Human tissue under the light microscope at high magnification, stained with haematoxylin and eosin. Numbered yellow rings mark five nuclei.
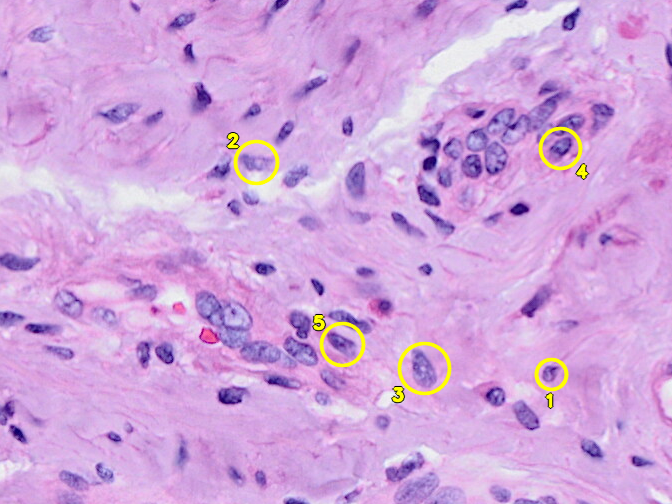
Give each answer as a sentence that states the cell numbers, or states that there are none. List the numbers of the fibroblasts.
By cell type, the cells numbered 1, 2 and 3 are fibroblasts.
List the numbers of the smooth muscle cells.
Among the cells marked with numbers, the only one that is a smooth muscle cell is number 5.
